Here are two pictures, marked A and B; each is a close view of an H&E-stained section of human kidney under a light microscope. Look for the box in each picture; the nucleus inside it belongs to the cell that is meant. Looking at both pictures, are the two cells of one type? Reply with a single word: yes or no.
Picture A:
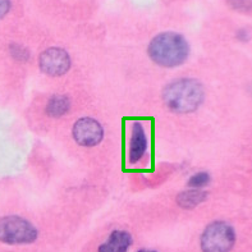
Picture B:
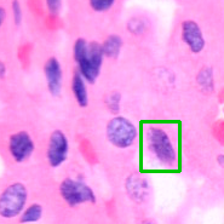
no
